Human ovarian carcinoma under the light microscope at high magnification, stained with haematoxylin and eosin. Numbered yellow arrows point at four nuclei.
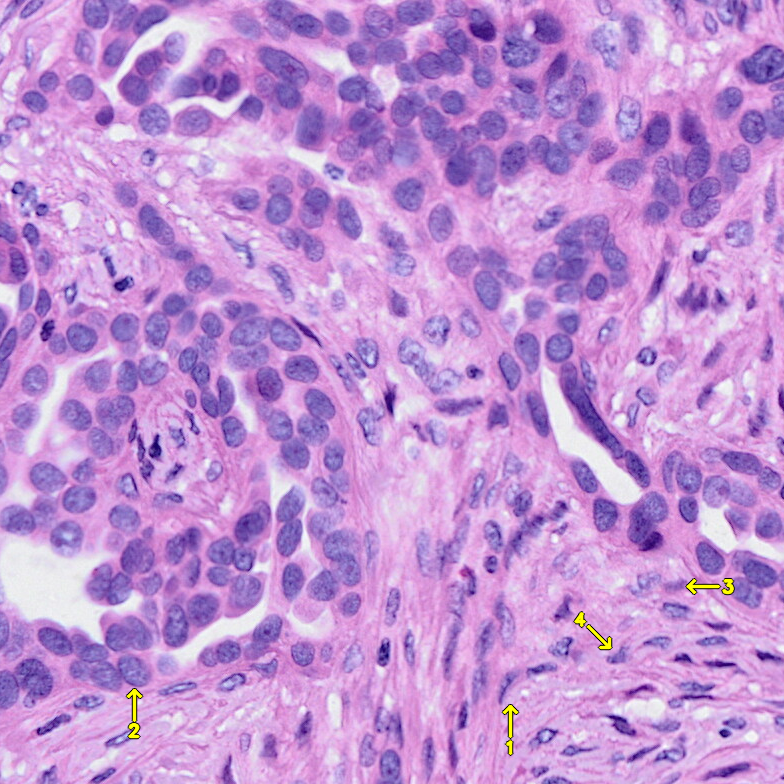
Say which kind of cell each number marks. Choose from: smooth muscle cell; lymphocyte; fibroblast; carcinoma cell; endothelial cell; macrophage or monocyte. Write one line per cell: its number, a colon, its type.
1: fibroblast
2: carcinoma cell
3: fibroblast
4: fibroblast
